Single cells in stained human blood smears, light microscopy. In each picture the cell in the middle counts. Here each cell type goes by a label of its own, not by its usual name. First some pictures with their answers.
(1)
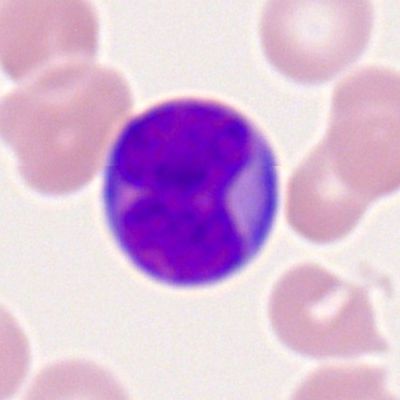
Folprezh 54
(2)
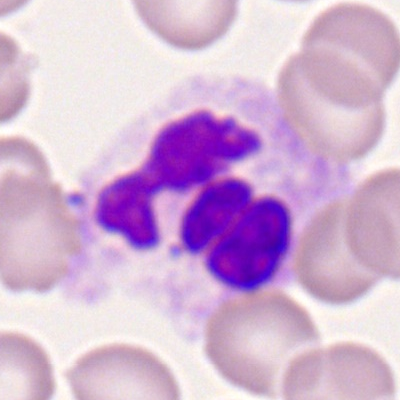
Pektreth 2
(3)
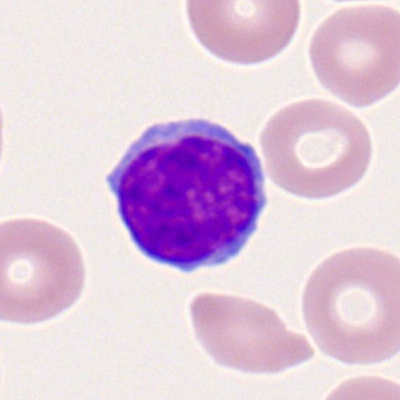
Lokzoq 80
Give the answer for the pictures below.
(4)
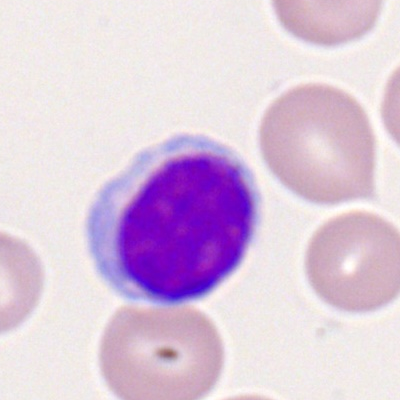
Lokzoq 80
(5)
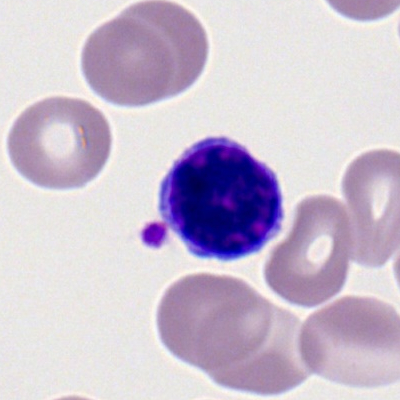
Lokzoq 80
